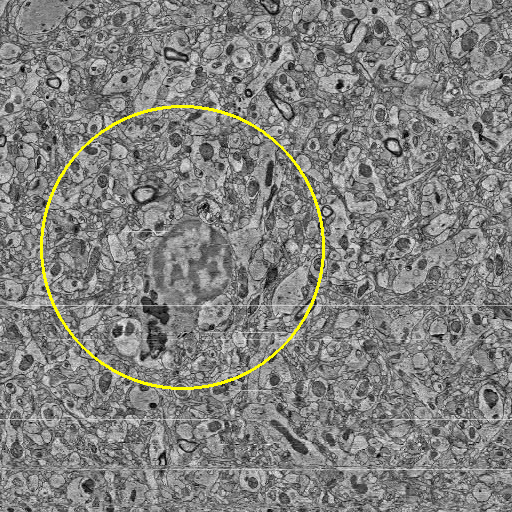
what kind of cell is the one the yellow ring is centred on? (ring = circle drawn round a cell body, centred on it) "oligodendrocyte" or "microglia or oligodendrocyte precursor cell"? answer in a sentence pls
The ring is drawn around an oligodendrocyte.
